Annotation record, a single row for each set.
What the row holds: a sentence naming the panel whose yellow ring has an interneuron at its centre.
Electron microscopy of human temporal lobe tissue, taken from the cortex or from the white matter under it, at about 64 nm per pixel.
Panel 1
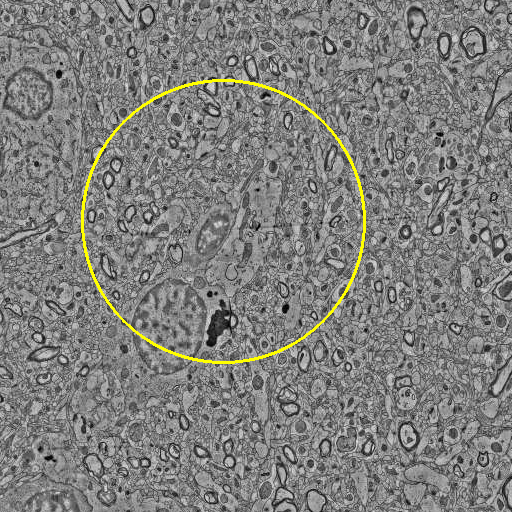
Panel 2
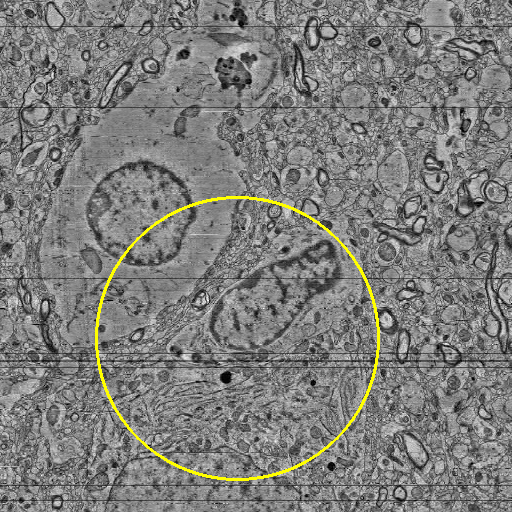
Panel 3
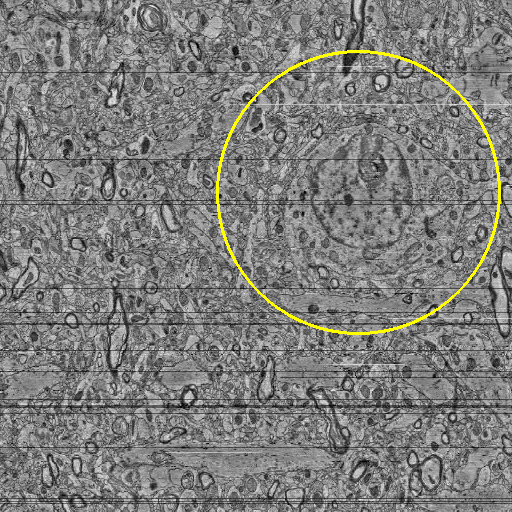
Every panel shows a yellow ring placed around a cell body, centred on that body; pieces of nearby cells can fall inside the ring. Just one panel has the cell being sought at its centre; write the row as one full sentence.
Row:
In panel 3, the cell at the middle of the yellow ring is the one sought.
